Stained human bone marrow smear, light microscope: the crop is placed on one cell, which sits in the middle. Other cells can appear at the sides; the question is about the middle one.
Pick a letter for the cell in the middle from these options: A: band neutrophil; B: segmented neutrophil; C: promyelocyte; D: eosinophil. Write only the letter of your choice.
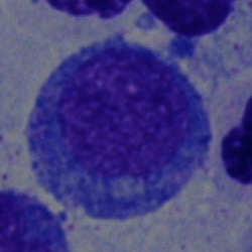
C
